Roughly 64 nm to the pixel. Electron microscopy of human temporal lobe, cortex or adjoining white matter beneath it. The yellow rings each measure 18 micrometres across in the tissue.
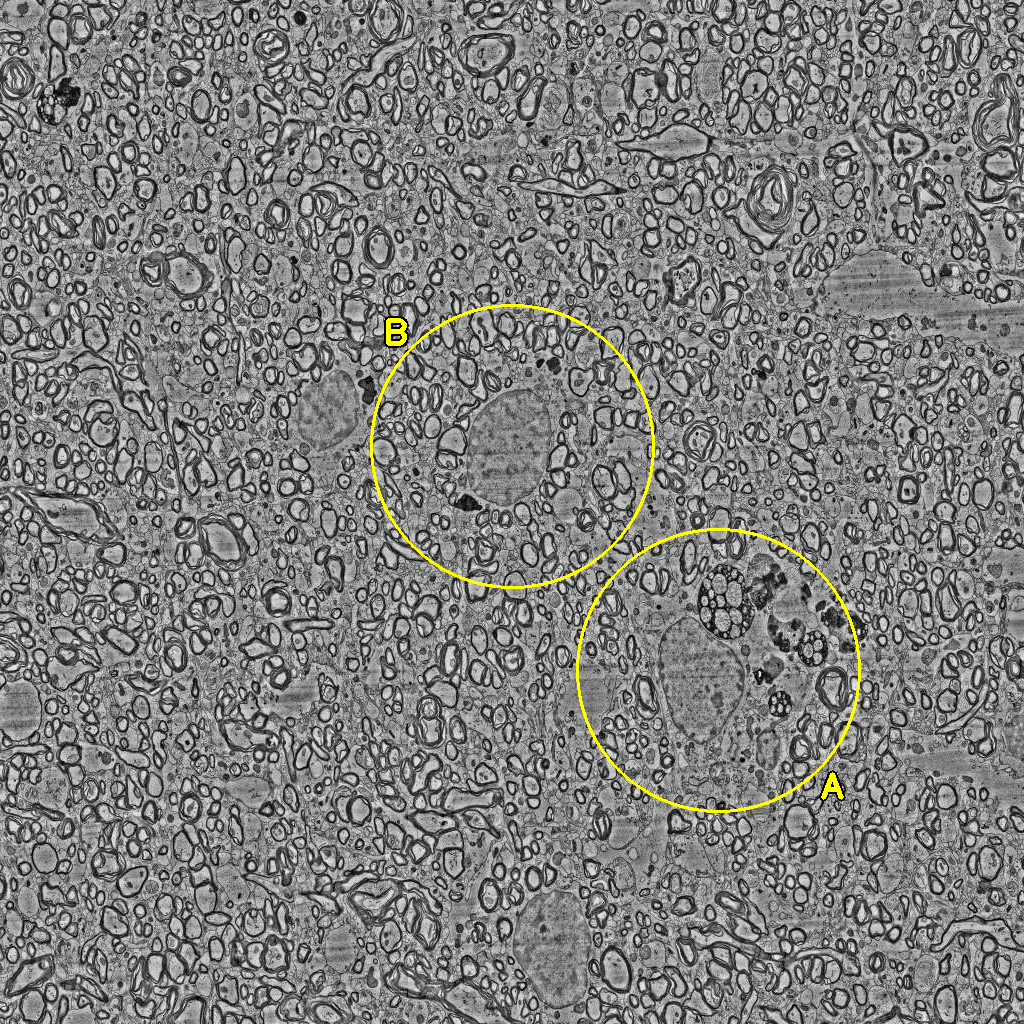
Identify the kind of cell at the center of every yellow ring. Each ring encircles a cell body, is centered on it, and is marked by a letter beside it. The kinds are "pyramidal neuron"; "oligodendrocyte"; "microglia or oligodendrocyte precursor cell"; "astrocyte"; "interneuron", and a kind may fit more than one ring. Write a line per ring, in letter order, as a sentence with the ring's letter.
The cell centered in ring A is an astrocyte.
The cell centered in ring B is an oligodendrocyte.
